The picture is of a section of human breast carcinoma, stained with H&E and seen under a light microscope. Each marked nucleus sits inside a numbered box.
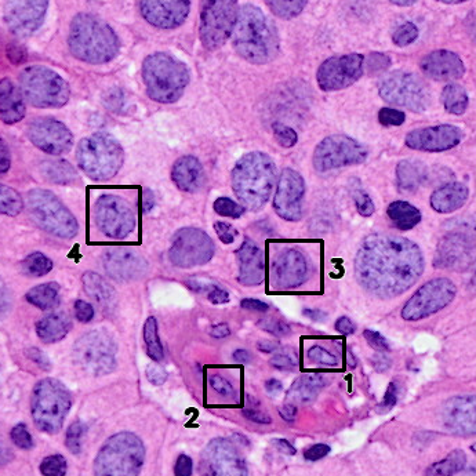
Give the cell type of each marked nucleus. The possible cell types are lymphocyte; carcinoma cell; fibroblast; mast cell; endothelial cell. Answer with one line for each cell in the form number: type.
1: endothelial cell
2: endothelial cell
3: carcinoma cell
4: carcinoma cell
